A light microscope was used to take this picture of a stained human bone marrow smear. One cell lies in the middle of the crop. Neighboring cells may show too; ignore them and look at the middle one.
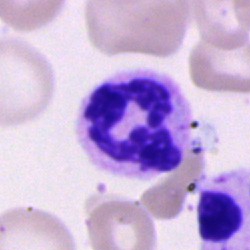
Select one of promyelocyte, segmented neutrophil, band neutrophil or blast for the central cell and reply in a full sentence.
The target cell in the middle of the crop is a segmented neutrophil.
